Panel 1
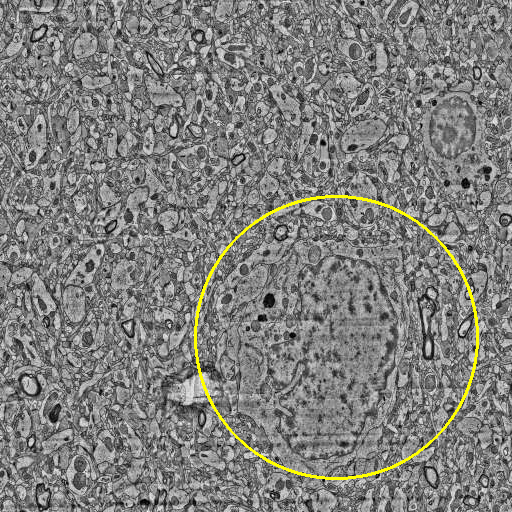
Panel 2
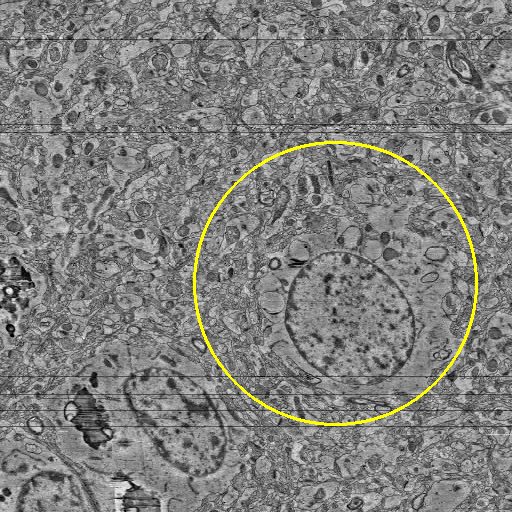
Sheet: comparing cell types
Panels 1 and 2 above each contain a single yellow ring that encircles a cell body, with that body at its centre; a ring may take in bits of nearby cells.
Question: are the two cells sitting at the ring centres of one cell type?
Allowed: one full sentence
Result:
No, the ring-centre cells in Panel 1 and Panel 2 are of two types.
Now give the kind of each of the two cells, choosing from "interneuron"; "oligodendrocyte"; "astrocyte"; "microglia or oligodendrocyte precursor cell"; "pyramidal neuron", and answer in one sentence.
The cell in the first picture is an interneuron, and the cell in the second is an astrocyte.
